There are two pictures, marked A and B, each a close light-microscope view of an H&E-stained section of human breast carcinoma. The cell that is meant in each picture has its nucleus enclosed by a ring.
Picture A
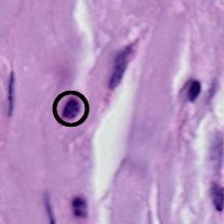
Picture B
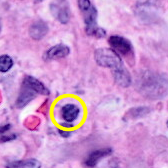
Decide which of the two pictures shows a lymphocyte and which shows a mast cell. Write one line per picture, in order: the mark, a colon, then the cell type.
A: mast cell
B: lymphocyte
